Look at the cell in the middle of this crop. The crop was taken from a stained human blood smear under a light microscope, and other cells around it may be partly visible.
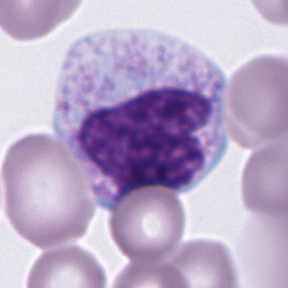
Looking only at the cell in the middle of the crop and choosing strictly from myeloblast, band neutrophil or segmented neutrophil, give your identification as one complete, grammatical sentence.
In the centre of this crop there is a band neutrophil.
